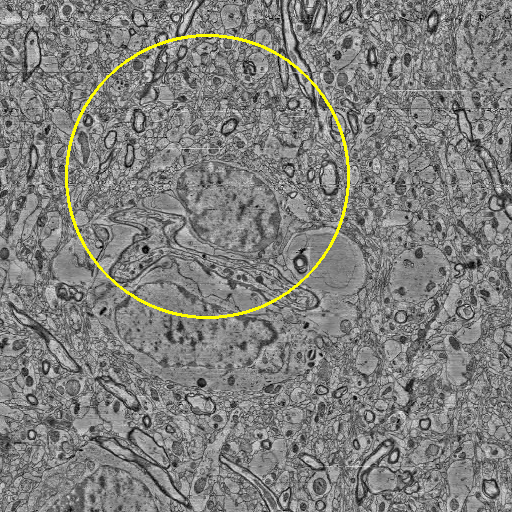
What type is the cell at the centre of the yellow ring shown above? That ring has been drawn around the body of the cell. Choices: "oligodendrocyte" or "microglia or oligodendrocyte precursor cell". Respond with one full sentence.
My answer is that an oligodendrocyte lies at the centre of the yellow ring above.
